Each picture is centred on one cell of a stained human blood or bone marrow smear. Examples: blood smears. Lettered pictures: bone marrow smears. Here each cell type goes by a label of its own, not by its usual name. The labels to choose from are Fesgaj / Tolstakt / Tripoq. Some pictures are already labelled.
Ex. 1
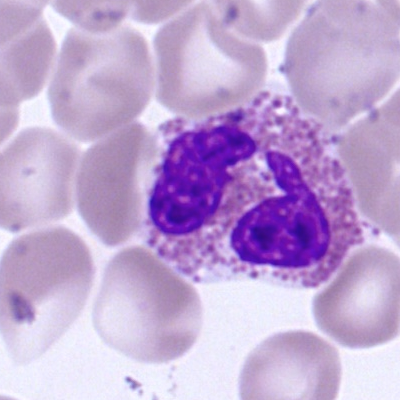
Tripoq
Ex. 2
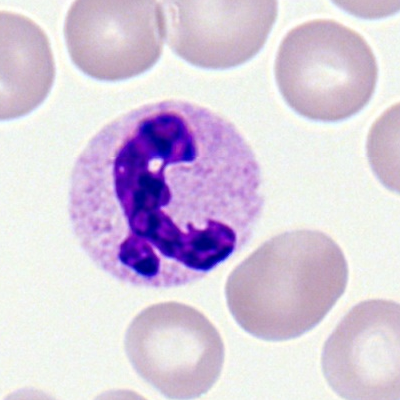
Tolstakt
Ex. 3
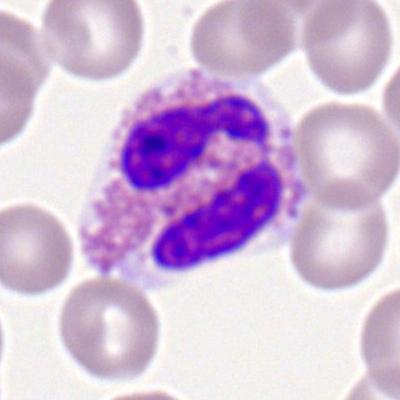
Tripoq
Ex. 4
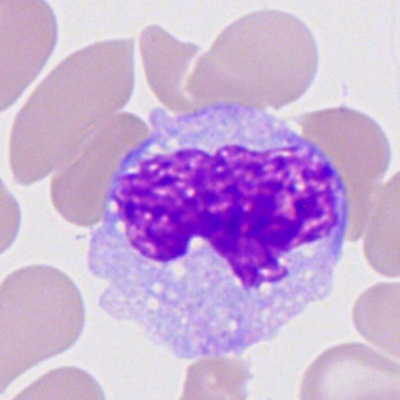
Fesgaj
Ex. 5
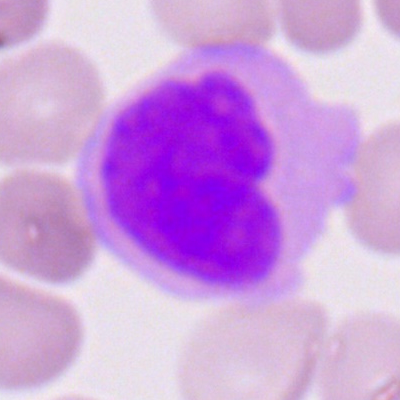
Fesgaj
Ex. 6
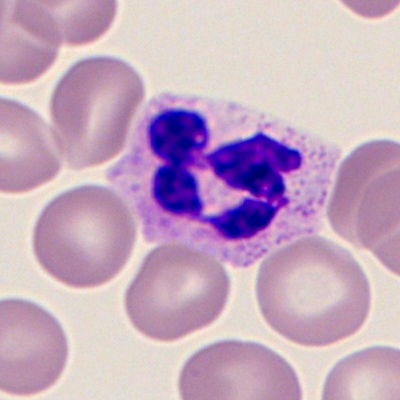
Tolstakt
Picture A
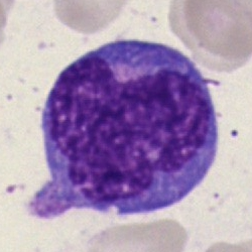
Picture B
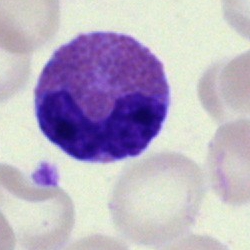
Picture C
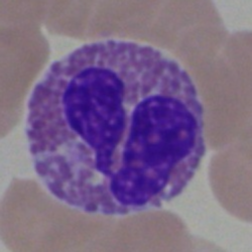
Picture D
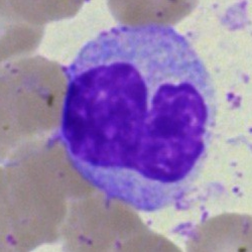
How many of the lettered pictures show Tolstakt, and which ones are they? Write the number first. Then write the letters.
0, none of them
